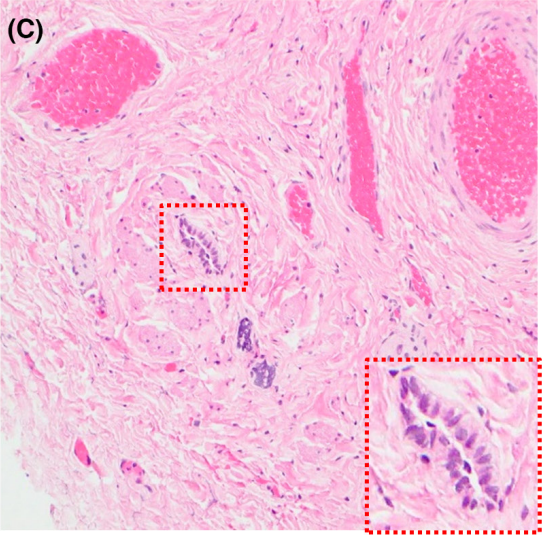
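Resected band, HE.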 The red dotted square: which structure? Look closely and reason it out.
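A small slit-like lumen is lined by a row of cells with dark purple nuclei. The structure lies within pink fibrous stroma. The answer: Luminal structures lined by epithelial cells.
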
